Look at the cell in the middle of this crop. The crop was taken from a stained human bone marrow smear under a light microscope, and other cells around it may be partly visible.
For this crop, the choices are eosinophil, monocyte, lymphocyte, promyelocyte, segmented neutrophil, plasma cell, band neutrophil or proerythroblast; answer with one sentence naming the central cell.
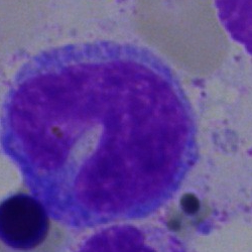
Regarding the central cell, it is a monocyte.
